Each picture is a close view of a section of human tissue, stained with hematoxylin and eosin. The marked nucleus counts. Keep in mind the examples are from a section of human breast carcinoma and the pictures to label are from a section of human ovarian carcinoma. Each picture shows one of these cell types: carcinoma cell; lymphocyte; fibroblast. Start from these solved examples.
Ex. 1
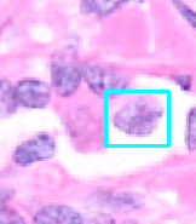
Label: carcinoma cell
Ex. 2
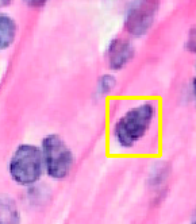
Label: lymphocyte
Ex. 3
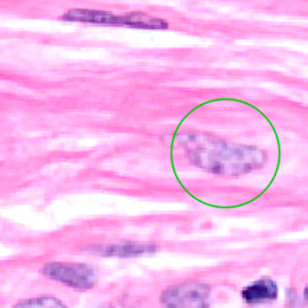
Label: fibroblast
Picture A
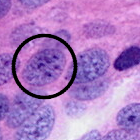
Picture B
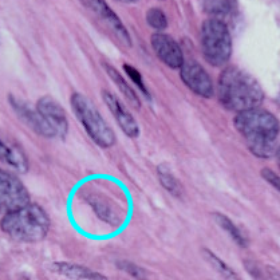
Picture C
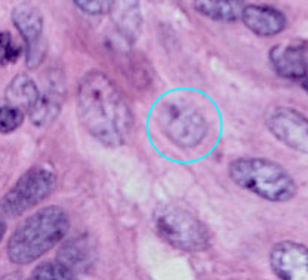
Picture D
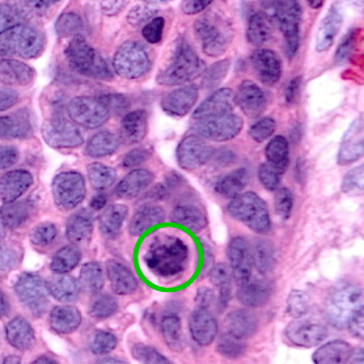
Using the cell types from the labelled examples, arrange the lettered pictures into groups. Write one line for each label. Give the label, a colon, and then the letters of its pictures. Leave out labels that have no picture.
carcinoma cell: A, D
fibroblast: B, C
